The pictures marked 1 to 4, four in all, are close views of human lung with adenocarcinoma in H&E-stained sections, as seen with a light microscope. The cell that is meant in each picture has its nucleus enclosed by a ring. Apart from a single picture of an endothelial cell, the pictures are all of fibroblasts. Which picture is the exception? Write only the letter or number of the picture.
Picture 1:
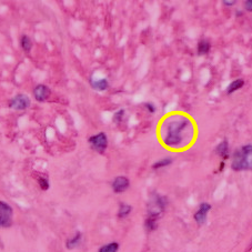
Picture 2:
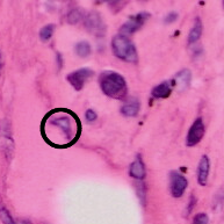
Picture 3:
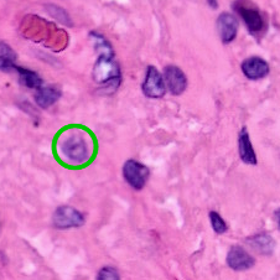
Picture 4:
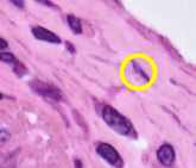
2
